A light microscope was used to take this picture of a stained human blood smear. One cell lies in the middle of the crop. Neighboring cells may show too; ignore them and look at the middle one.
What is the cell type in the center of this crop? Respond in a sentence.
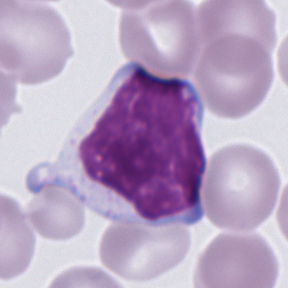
By type, the central cell of the crop is a large granular lymphocyte.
